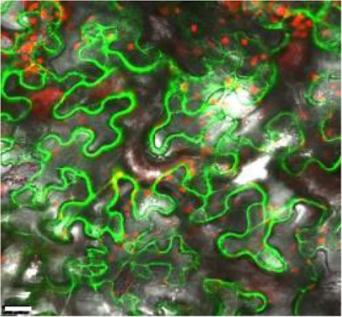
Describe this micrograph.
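This is a sheet of epidermal cells with strongly lobed, interlocking jigsaw-puzzle outlines. Green fluorescence traces the periphery of each cell along its wavy walls and also runs in thin strands across some cells. Small round red bodies, the chloroplasts, are scattered over the field, many in a separate layer from the green outlines. The grey brightfield background shows the same wavy cell shapes.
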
